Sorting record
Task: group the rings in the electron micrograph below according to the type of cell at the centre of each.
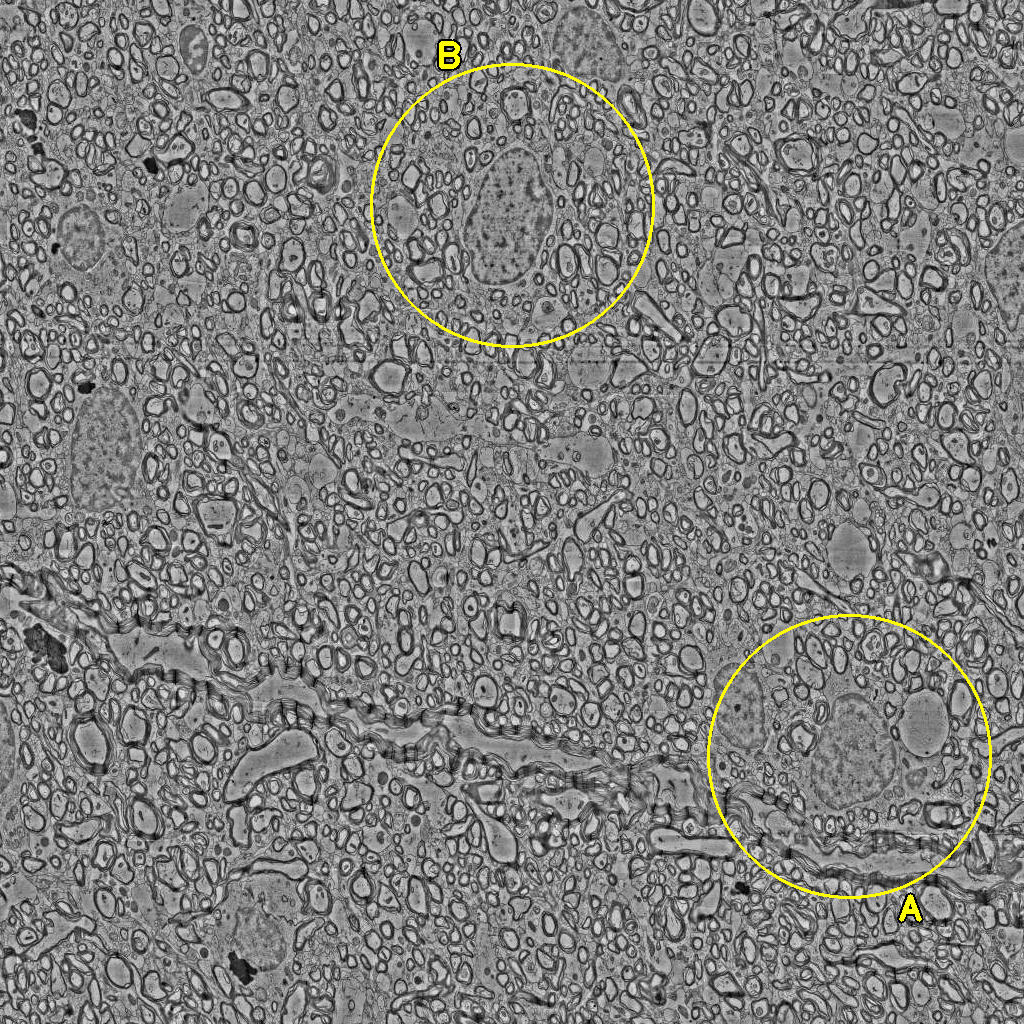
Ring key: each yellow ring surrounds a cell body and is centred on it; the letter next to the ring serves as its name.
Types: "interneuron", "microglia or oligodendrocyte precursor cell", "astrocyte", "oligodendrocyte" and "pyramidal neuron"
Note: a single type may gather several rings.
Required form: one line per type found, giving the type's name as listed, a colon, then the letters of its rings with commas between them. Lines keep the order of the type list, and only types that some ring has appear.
microglia or oligodendrocyte precursor cell: B
oligodendrocyte: A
